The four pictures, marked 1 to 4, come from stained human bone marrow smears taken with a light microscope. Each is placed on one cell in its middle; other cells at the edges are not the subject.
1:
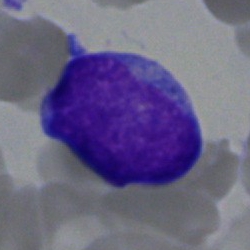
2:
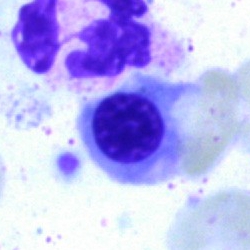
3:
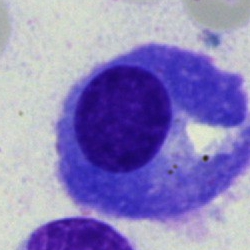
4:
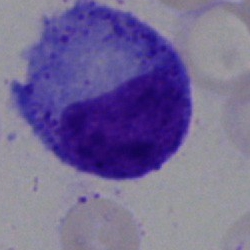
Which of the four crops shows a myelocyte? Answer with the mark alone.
4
